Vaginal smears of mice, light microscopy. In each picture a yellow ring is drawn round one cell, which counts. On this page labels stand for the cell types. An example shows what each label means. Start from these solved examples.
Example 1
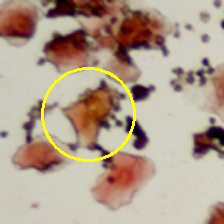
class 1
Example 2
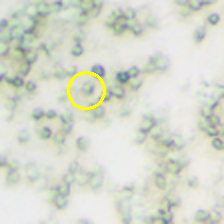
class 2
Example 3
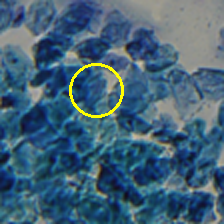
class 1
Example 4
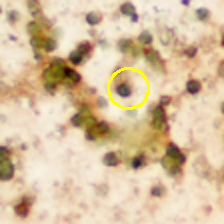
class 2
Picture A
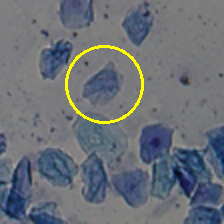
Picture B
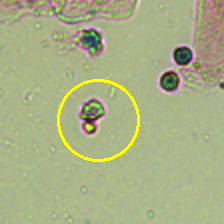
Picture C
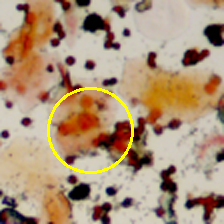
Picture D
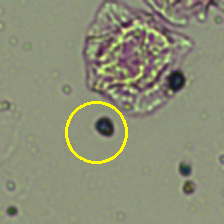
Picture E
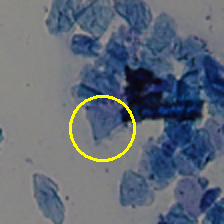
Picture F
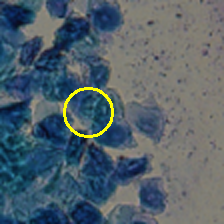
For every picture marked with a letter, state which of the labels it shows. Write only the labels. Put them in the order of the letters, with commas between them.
class 1, class 2, class 1, class 2, class 1, class 1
